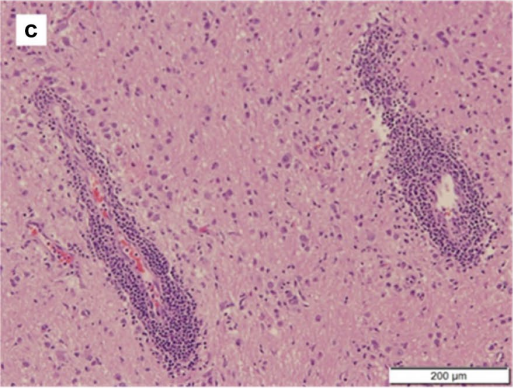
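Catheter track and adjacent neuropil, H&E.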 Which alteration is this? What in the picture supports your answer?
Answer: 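Perivascular mononuclear cell infiltrates. Two vessels are surrounded by dense cuffs of small round dark nuclei. The cuffs are confined around the vessels, with pink neuropil between them. Red blood cells lie in the lumen of the left vessel.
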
